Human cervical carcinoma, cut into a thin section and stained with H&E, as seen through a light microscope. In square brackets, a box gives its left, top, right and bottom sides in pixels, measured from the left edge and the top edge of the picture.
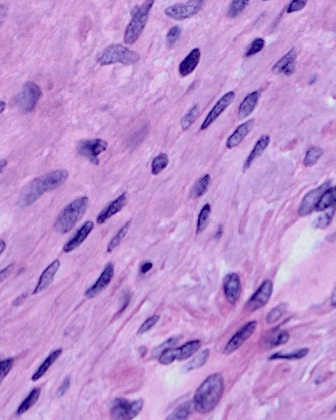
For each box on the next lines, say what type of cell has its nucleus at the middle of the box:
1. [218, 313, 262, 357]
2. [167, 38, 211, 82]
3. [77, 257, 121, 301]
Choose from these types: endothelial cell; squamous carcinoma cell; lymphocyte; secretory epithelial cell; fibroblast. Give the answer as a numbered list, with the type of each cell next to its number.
1. endothelial cell
2. lymphocyte
3. fibroblast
